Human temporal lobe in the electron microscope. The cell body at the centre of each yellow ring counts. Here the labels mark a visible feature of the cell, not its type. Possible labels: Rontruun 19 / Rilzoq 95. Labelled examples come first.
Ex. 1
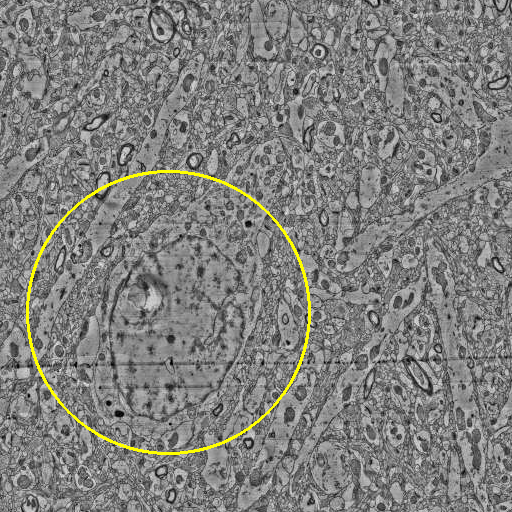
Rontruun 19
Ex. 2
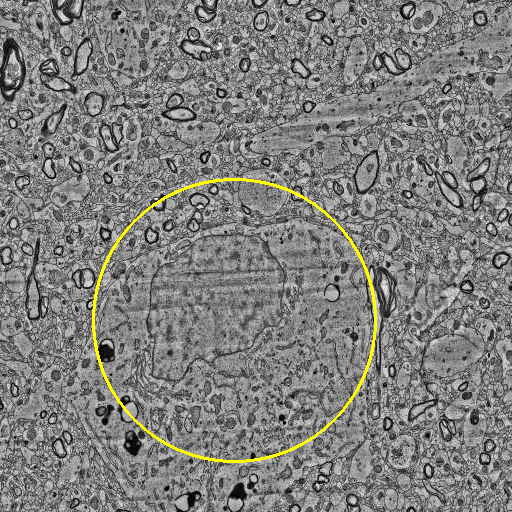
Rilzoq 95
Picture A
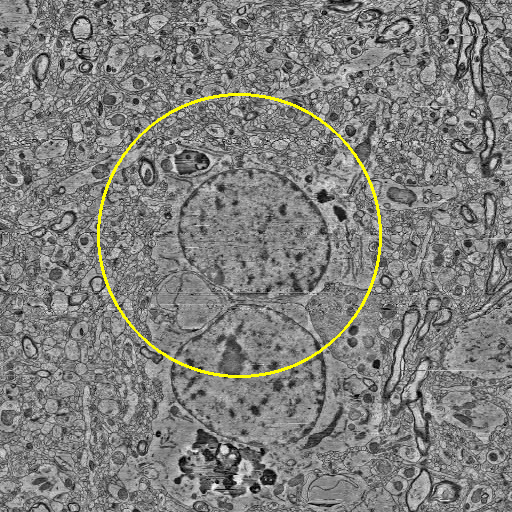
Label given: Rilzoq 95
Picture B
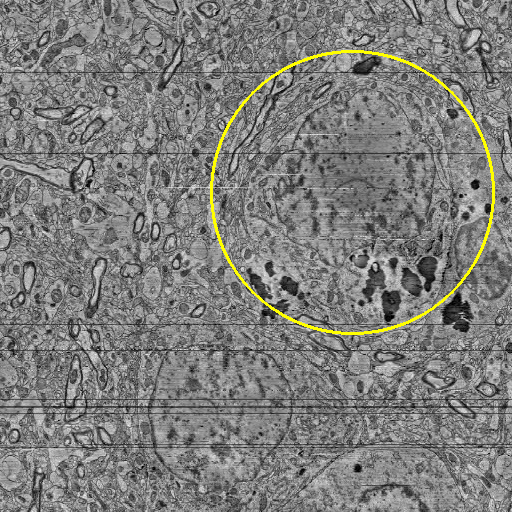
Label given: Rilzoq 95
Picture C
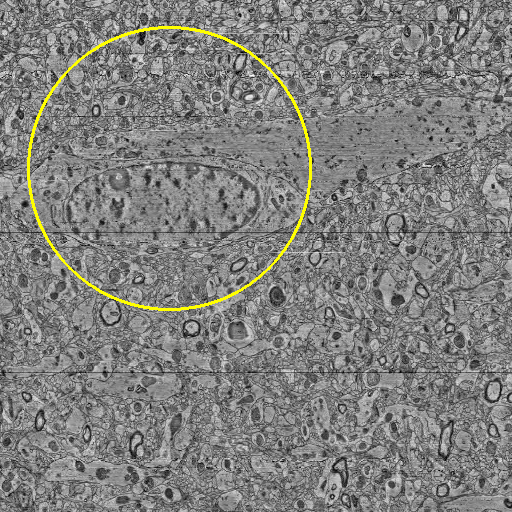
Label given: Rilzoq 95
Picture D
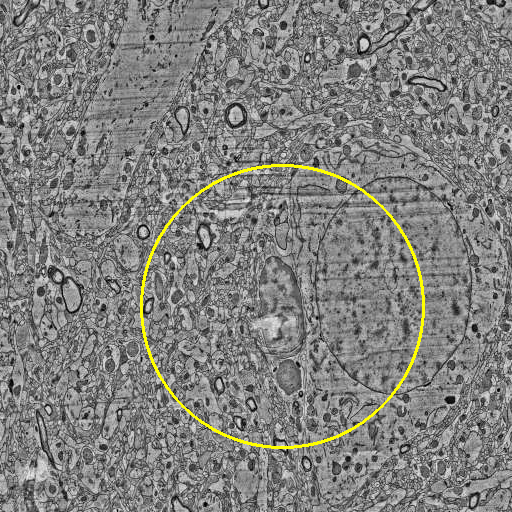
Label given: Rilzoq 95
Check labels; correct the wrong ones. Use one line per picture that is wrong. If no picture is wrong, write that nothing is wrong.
C is labelled Rilzoq 95; correct label: Rontruun 19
